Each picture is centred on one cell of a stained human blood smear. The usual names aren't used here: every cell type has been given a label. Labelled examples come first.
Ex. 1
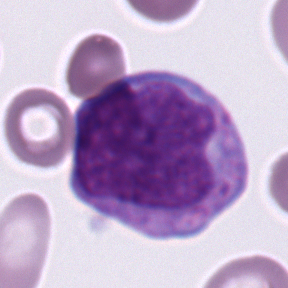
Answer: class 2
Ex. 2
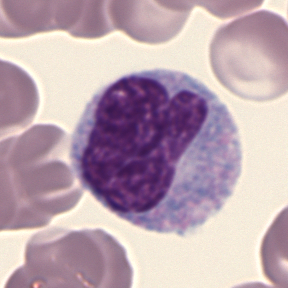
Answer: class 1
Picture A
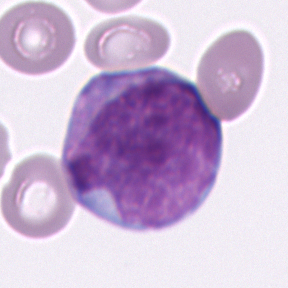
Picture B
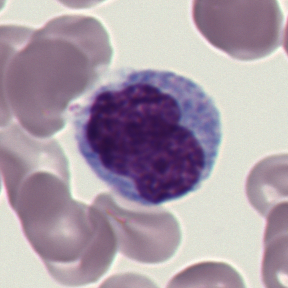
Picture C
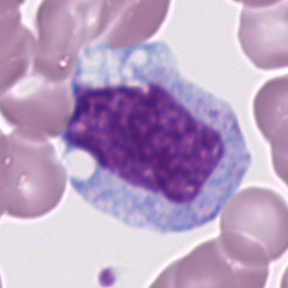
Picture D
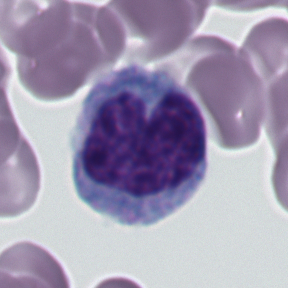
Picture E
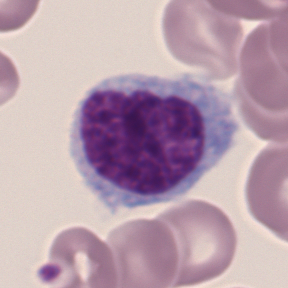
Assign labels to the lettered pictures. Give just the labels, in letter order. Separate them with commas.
class 2, class 1, class 1, class 1, class 1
